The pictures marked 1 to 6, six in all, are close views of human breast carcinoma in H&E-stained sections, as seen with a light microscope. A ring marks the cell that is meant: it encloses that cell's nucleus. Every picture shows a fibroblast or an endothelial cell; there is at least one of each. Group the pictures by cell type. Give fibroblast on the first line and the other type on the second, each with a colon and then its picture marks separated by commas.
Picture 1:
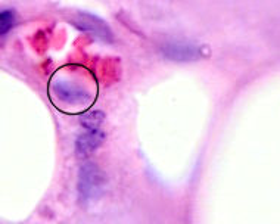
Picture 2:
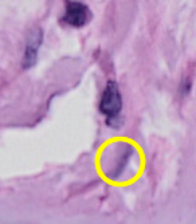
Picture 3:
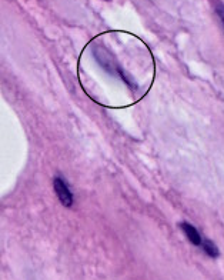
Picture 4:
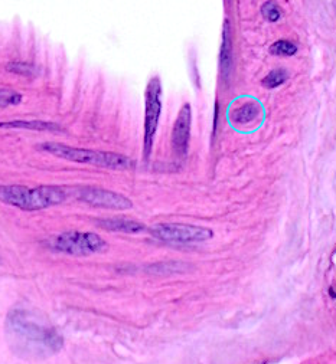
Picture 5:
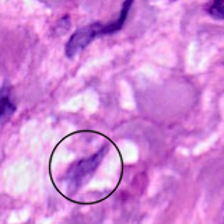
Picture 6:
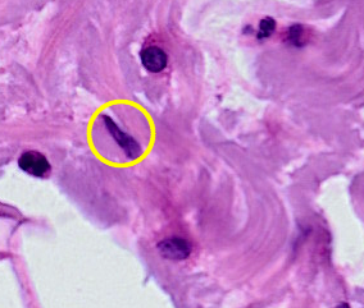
fibroblast: 2, 3, 5, 6
endothelial cell: 1, 4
